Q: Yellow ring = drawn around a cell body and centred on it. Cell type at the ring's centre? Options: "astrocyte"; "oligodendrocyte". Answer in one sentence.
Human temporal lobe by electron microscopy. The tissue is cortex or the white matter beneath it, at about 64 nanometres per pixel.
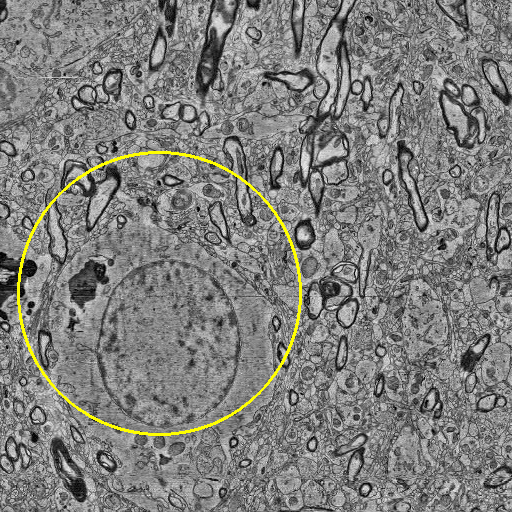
Centred in the ring is an astrocyte.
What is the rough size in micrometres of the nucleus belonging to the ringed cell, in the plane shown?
In this plane, the nucleus is roughly 11 by 9 micrometres.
